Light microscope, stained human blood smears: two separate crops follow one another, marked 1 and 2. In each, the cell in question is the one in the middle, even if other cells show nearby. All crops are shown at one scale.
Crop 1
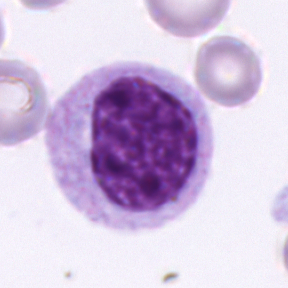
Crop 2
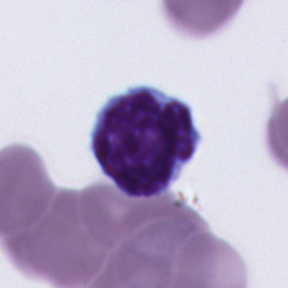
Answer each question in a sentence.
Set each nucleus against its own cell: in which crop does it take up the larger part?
It is the cell in crop 2 that is filled more by its nucleus.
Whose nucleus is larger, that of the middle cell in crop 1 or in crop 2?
The nucleus in crop 1 is larger, with about 1.5 times the area of the one in crop 2.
